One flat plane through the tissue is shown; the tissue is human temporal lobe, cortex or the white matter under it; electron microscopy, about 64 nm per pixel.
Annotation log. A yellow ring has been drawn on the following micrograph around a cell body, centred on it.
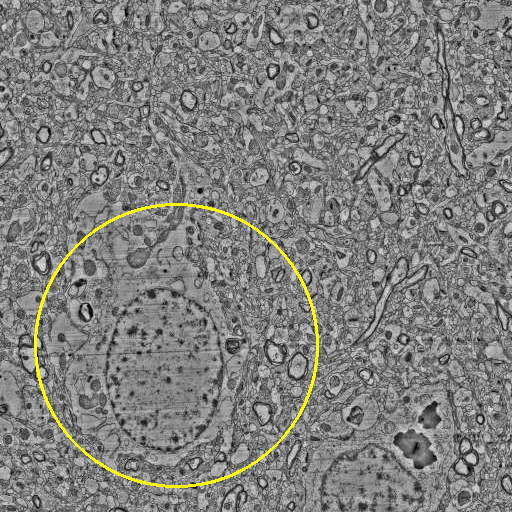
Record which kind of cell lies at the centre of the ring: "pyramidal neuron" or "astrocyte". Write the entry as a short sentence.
The cell the ring is centred on is an astrocyte.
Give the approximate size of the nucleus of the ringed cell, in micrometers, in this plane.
About 10 by 8 micrometers, in this plane.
